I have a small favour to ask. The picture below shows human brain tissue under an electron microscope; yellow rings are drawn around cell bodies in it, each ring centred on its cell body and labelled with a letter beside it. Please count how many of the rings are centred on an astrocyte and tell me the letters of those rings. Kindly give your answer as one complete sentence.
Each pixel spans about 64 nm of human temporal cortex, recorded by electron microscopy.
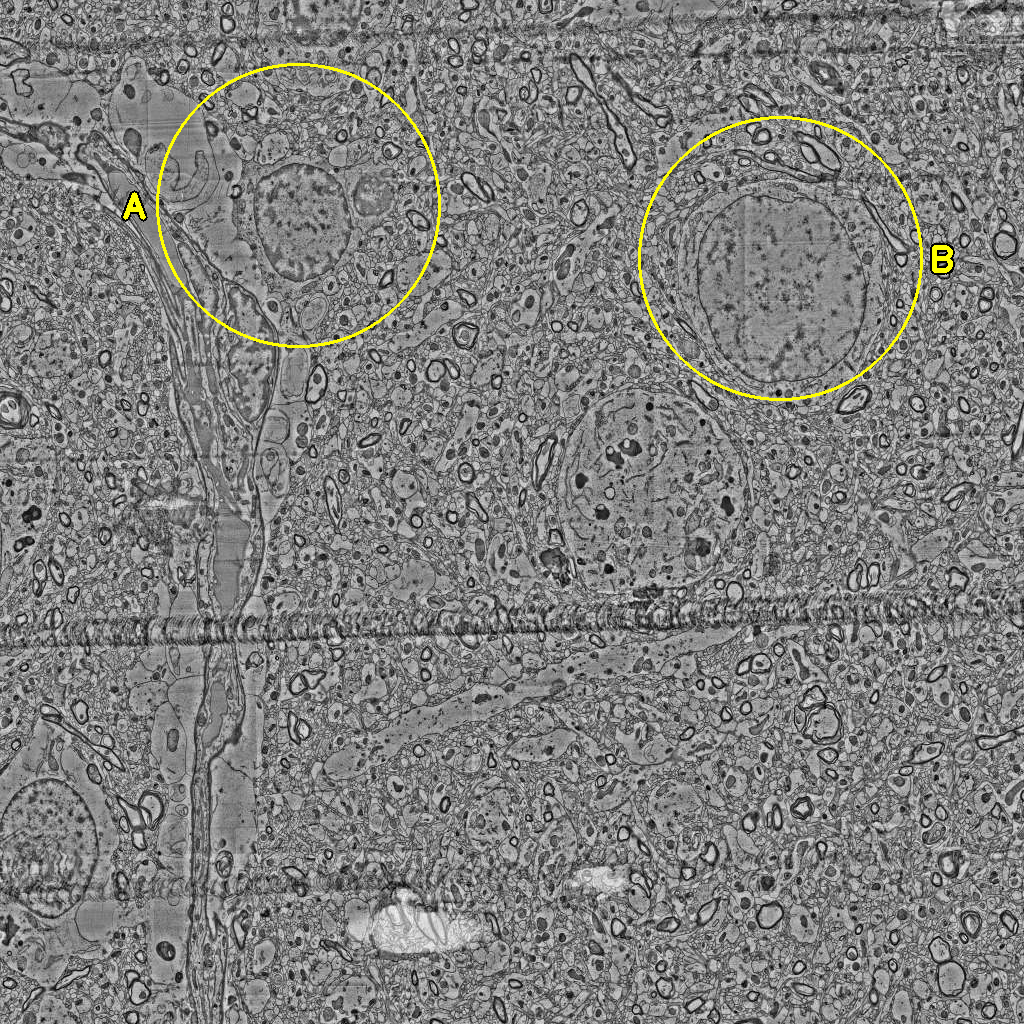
Zero rings, of all those lettered in the micrograph, are centred on an astrocyte.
